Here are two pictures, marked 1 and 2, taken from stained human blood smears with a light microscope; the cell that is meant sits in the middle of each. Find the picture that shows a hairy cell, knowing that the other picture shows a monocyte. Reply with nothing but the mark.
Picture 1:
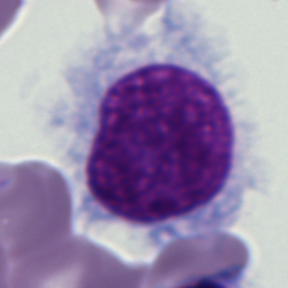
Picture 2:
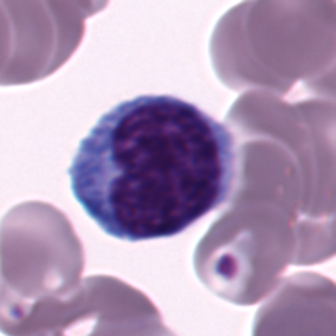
1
